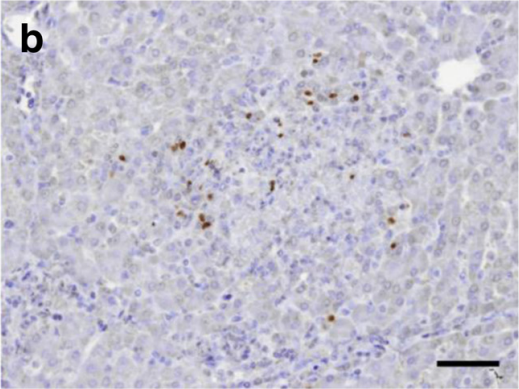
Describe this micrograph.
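This is liver parenchyma made up of sheets of polygonal hepatocytes with pale cytoplasm and round nuclei. In the central area small brown granular deposits are scattered among the cells. A vessel lumen lies at the upper right.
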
